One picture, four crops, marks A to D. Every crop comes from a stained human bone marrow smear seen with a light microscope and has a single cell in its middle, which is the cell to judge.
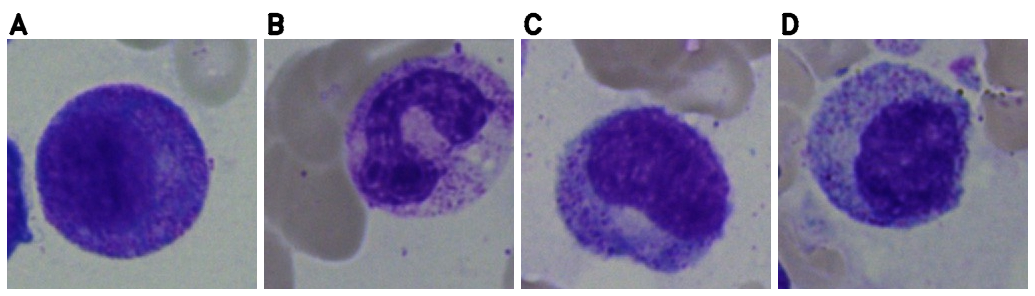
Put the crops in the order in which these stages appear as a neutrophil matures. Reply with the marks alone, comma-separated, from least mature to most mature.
A, D, C, B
